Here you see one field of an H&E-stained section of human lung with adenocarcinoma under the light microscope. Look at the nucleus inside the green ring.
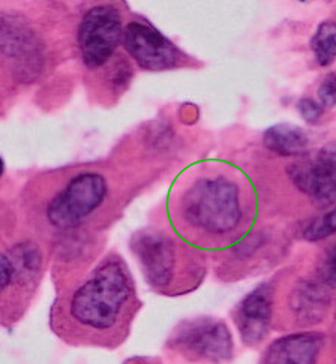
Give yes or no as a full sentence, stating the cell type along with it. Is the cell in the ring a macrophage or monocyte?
No, the correct identification of the cell in the ring is a carcinoma cell, not a macrophage or monocyte.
